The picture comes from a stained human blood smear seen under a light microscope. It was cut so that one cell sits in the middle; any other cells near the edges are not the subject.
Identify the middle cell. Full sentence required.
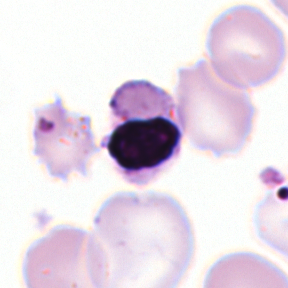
For this crop, the central cell is an erythroblast.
